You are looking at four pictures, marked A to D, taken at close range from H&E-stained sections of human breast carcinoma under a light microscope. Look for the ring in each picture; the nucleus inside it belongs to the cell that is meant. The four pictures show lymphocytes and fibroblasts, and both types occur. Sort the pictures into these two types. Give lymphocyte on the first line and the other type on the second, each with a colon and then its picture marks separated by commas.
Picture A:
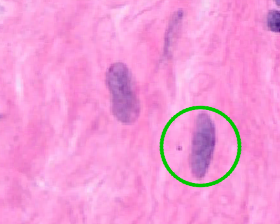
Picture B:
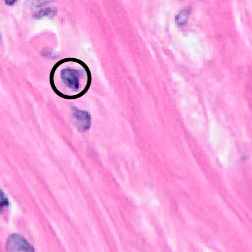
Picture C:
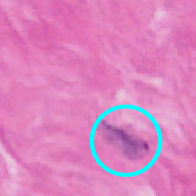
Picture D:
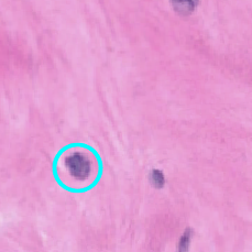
lymphocyte: B, D
fibroblast: A, C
